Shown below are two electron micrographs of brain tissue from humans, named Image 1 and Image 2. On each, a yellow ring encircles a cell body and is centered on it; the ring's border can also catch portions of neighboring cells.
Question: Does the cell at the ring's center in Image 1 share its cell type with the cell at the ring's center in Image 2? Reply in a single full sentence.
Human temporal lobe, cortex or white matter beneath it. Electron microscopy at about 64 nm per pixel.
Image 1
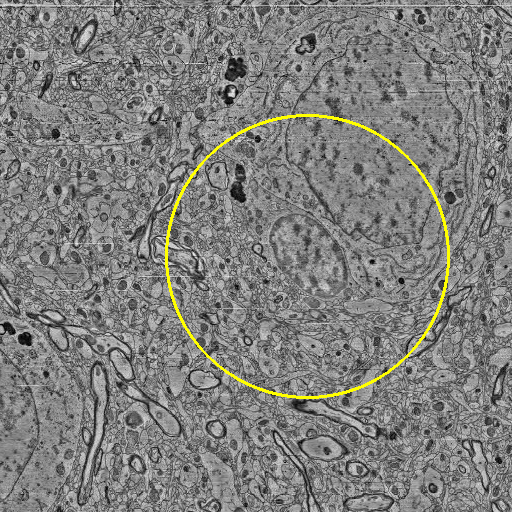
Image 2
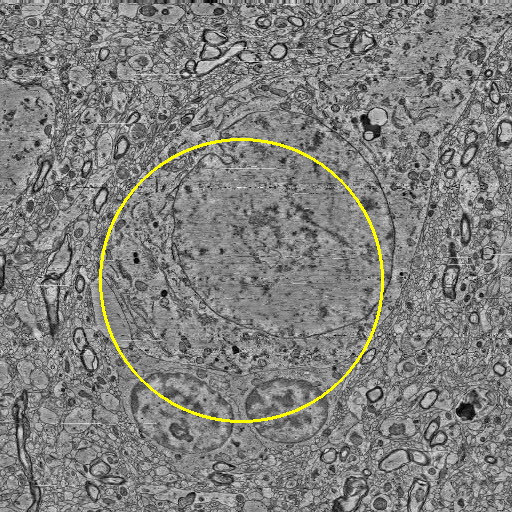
No, the two cells at the ring centers, in Image 1 and Image 2, are of two cell types.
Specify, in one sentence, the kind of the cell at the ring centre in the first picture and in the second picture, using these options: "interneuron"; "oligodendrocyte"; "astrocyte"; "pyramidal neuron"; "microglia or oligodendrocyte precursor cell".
So the first is an oligodendrocyte, the second a pyramidal neuron.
